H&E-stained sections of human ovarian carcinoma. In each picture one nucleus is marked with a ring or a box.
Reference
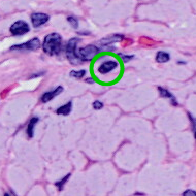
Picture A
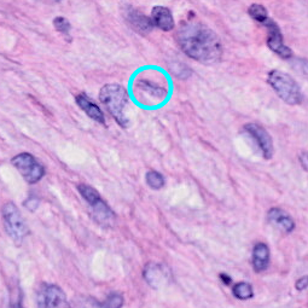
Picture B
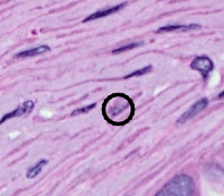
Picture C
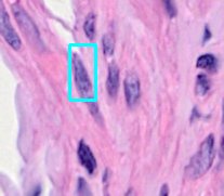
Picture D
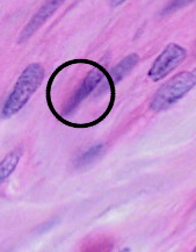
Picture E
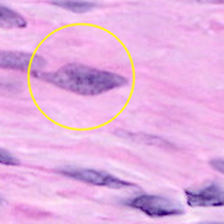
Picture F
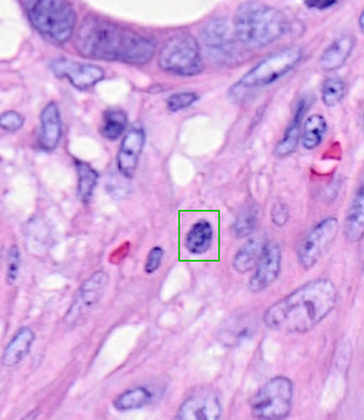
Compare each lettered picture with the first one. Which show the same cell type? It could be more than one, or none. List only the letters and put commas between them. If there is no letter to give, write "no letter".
F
